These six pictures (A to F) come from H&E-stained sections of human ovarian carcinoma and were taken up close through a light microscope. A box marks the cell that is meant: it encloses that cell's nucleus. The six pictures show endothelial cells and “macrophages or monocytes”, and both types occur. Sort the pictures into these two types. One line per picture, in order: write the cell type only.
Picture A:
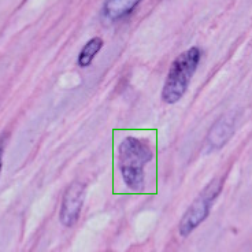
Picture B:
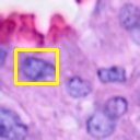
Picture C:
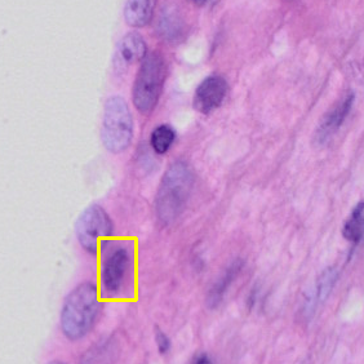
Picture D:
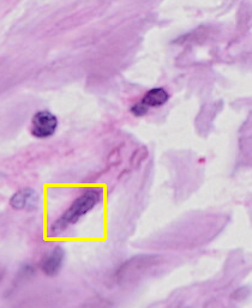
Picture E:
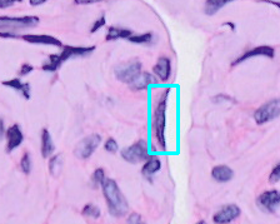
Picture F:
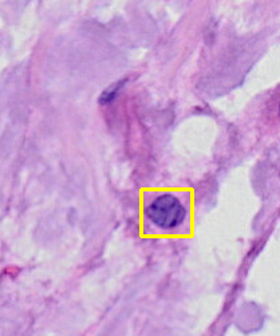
macrophage or monocyte
endothelial cell
macrophage or monocyte
endothelial cell
endothelial cell
macrophage or monocyte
